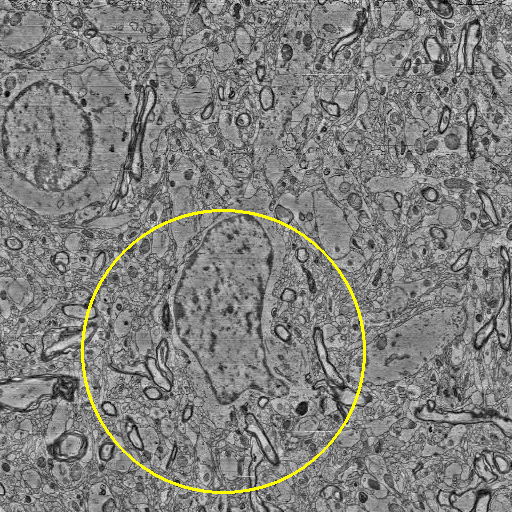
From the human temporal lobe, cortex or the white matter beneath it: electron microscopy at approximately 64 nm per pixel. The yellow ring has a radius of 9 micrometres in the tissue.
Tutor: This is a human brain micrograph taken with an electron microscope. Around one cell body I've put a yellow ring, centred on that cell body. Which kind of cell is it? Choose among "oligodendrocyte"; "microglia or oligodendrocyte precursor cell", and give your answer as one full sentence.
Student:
Going by your list, the cell centred in the yellow ring is a microglial cell or oligodendrocyte precursor cell.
